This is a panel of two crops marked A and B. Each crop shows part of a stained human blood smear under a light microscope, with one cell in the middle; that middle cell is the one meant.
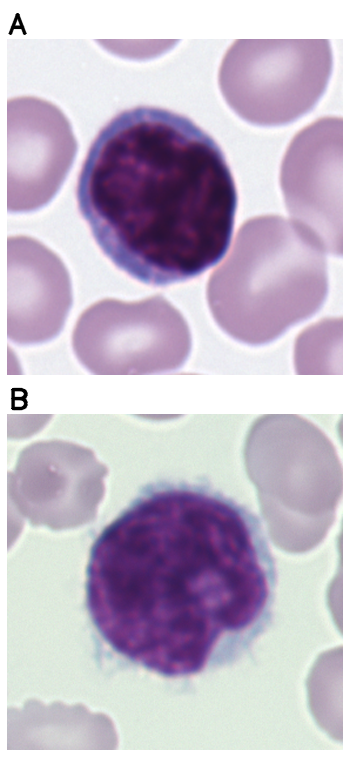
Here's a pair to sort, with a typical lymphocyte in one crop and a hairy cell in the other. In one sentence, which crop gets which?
So, crop A is a typical lymphocyte, and crop B is a hairy cell.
